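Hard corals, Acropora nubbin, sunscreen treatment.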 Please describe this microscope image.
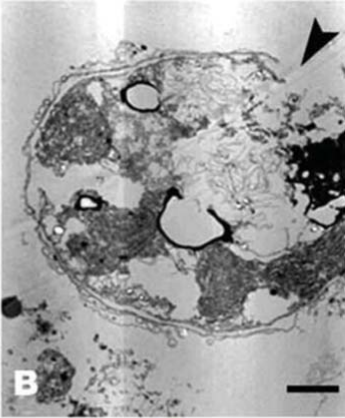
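A large, rounded zooxanthella is seen in section, but its contents are disorganised. Much of the interior is pale and empty, with several large clear vacuoles, one of them outlined by a dark rim. The thylakoid membranes no longer form dense stacks; instead they appear as loose, granular patches scattered around the cell periphery. Fine, wavy membrane fragments lie in the centre. Small dark fragments and debris surround the cell.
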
